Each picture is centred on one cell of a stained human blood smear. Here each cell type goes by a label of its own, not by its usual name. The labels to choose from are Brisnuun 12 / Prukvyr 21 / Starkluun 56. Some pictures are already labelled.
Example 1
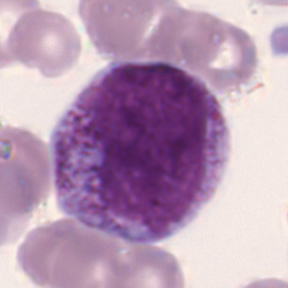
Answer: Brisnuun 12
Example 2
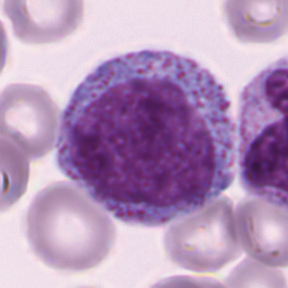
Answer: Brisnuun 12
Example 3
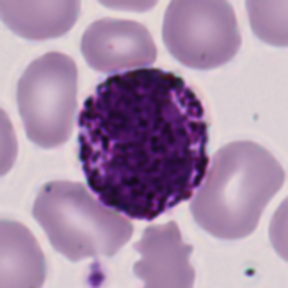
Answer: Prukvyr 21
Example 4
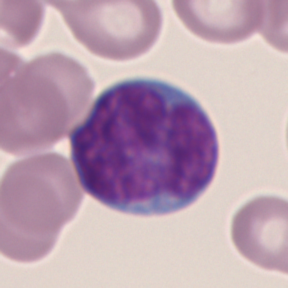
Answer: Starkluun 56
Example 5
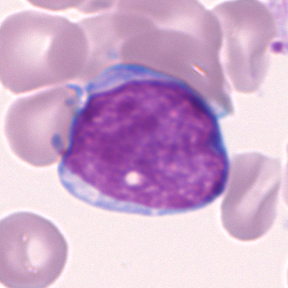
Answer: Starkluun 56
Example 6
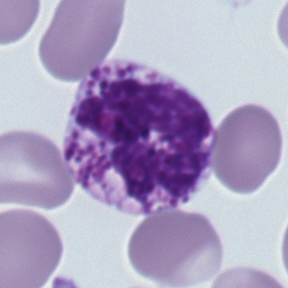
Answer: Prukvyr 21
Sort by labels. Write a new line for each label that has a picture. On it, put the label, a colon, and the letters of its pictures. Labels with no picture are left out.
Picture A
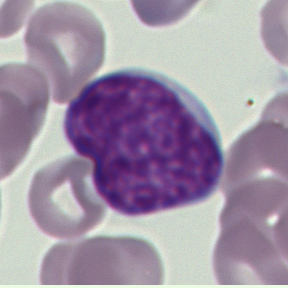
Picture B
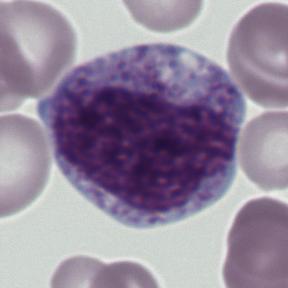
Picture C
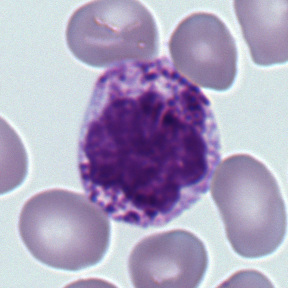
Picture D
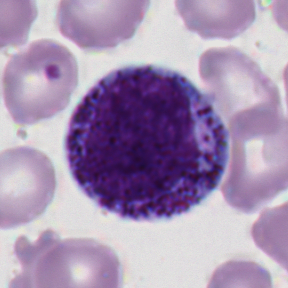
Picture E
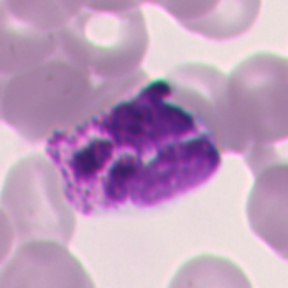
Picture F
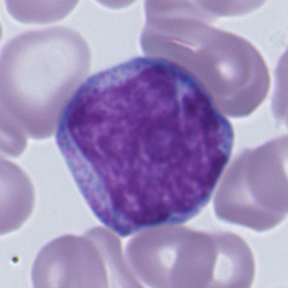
Brisnuun 12: B, D, F
Prukvyr 21: C, E
Starkluun 56: A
